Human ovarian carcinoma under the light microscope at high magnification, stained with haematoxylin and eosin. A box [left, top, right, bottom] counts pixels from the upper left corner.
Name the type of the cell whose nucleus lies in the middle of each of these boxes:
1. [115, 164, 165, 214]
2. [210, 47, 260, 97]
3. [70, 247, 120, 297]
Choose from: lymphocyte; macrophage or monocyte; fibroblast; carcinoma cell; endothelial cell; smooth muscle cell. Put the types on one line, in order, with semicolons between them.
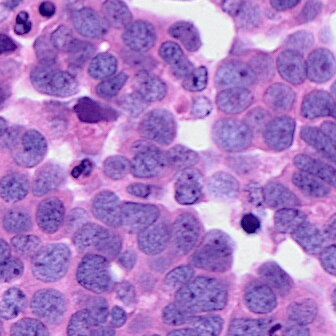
macrophage or monocyte; carcinoma cell; carcinoma cell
